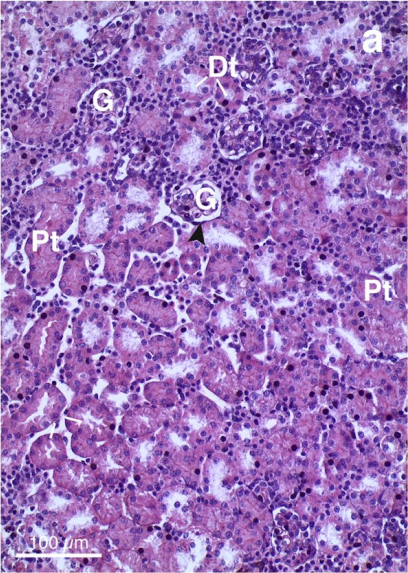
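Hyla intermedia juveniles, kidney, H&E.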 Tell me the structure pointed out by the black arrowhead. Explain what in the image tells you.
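The arrowhead points at the thin outer wall around a round capillary tuft. A clear space separates this wall from the tuft. That points to this answer: Bowman’s capsule.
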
